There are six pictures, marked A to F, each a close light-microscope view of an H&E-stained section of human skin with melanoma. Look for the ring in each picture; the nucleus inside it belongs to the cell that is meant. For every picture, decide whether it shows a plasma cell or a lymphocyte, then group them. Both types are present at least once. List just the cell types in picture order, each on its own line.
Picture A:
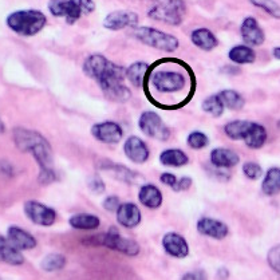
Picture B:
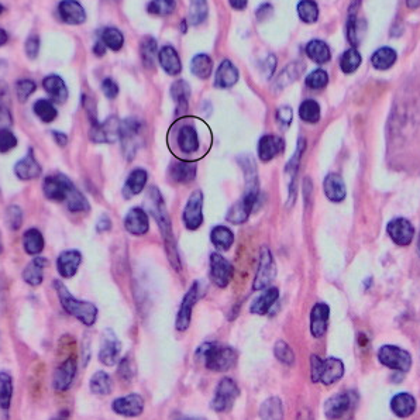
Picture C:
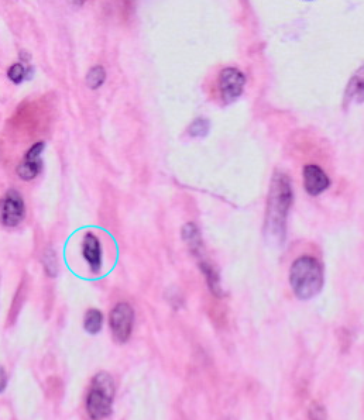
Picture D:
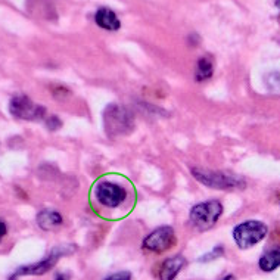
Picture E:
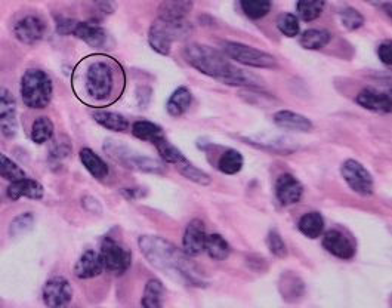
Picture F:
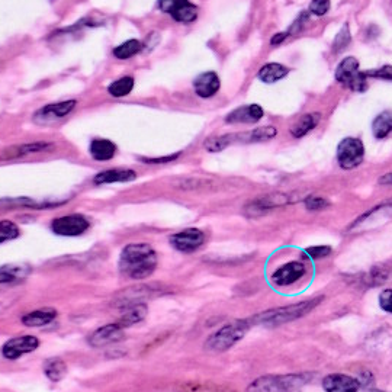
lymphocyte
plasma cell
lymphocyte
plasma cell
plasma cell
plasma cell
